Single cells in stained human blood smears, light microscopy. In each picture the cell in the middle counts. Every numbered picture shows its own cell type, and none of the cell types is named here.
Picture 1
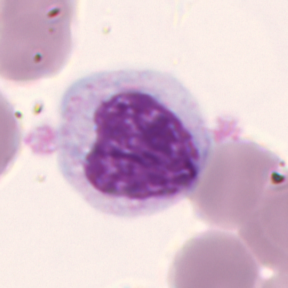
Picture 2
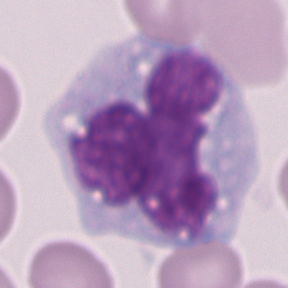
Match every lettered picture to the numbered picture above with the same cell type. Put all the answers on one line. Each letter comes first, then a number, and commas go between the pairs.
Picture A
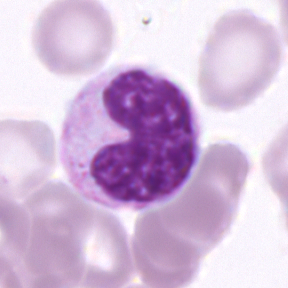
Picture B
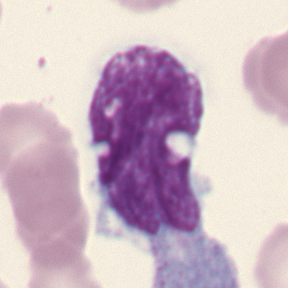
A 1, B 2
